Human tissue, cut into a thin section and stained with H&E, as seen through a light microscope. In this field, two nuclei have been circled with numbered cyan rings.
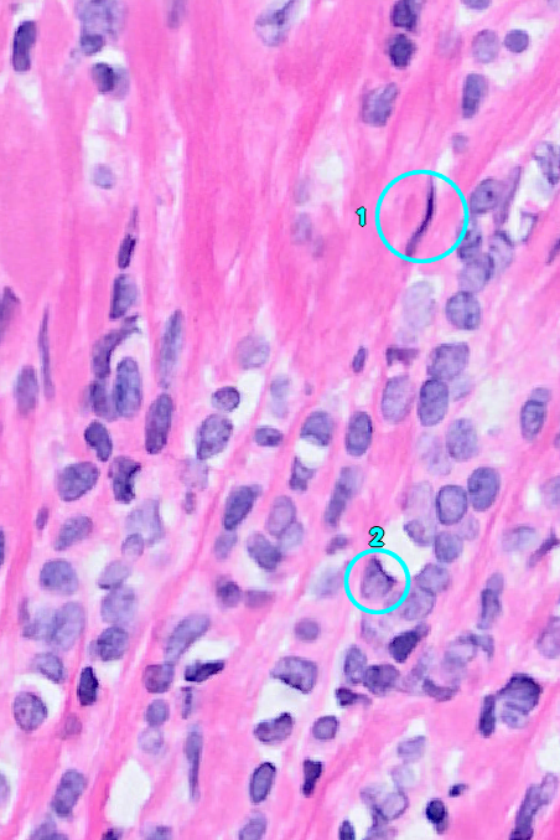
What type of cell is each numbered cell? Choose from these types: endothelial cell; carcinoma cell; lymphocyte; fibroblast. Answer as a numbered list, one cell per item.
1. fibroblast
2. carcinoma cell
